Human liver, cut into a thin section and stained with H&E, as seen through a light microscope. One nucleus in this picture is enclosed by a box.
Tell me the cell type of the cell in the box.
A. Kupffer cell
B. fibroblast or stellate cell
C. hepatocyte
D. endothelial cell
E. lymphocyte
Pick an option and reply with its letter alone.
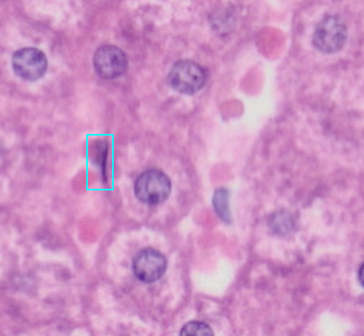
D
